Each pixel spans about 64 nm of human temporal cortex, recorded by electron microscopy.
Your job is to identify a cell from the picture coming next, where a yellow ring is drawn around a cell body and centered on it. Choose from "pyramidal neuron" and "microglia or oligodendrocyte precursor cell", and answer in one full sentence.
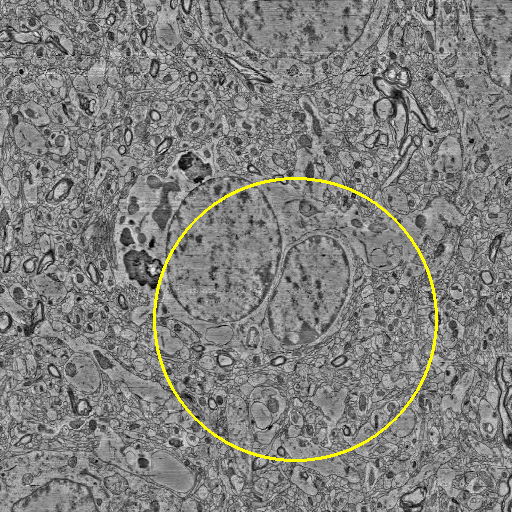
Centered in the yellow ring of the picture is the body of a microglial cell or oligodendrocyte precursor cell.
